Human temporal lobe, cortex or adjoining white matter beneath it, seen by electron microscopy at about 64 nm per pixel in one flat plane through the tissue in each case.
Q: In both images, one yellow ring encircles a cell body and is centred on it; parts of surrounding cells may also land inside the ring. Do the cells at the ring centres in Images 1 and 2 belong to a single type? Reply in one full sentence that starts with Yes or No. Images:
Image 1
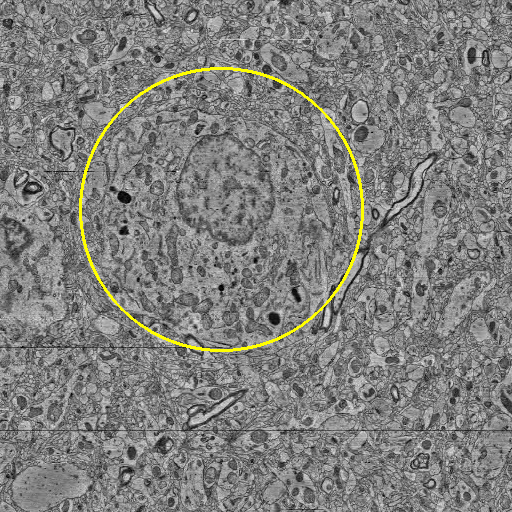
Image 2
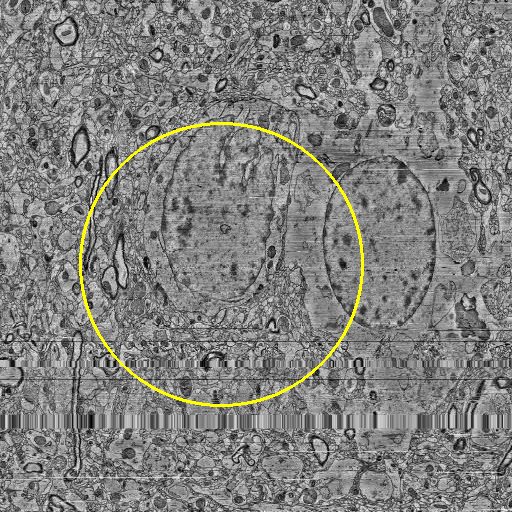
Yes, the cells at the ring centres in Images 1 and 2 are of a single type.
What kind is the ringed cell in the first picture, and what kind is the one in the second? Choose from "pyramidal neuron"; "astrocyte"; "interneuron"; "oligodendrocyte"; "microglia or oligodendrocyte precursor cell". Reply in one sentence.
The second cell is an interneuron, just as the first is.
